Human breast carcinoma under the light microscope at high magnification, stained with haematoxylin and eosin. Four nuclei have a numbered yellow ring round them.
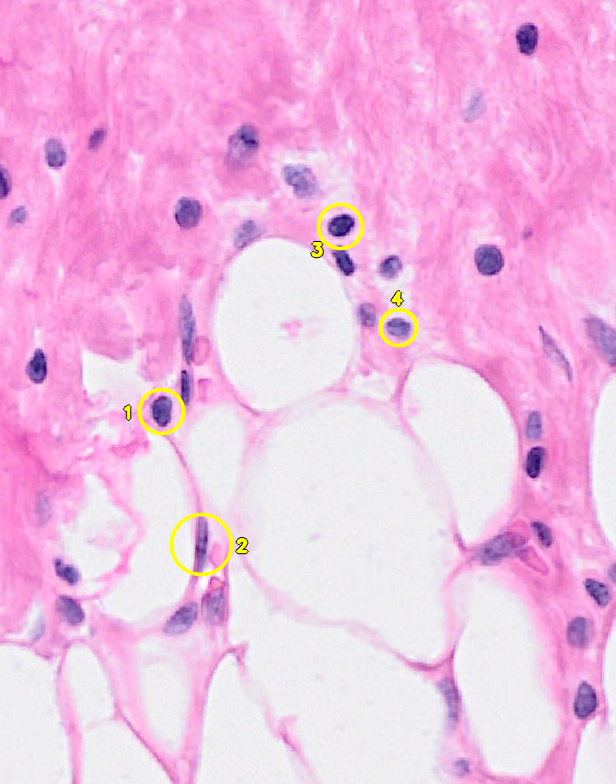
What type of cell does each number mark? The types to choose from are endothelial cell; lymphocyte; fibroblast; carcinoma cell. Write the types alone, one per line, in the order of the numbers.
lymphocyte
endothelial cell
lymphocyte
lymphocyte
